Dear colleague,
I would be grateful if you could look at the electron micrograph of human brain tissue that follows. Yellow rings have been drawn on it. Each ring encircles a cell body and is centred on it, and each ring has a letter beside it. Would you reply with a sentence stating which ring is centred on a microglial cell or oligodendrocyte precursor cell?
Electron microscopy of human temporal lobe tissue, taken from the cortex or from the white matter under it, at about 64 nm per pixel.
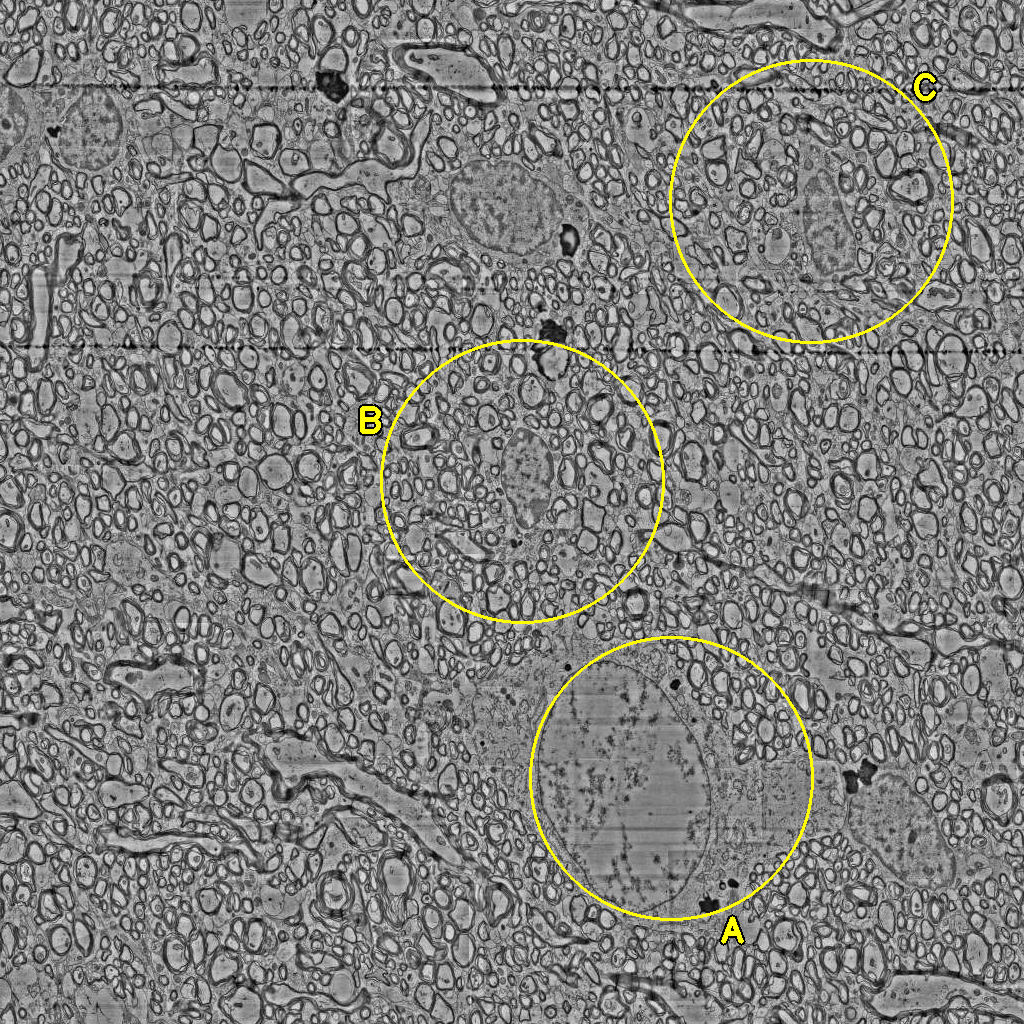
The ring centred on it is ring B.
